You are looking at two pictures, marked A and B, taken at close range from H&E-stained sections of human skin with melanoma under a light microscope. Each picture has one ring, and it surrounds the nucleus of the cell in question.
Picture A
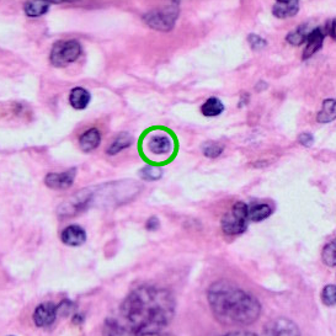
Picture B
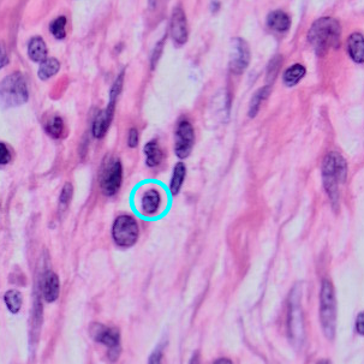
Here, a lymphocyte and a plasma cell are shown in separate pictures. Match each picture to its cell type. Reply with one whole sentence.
In picture A the cell is a lymphocyte; in picture B, a plasma cell.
